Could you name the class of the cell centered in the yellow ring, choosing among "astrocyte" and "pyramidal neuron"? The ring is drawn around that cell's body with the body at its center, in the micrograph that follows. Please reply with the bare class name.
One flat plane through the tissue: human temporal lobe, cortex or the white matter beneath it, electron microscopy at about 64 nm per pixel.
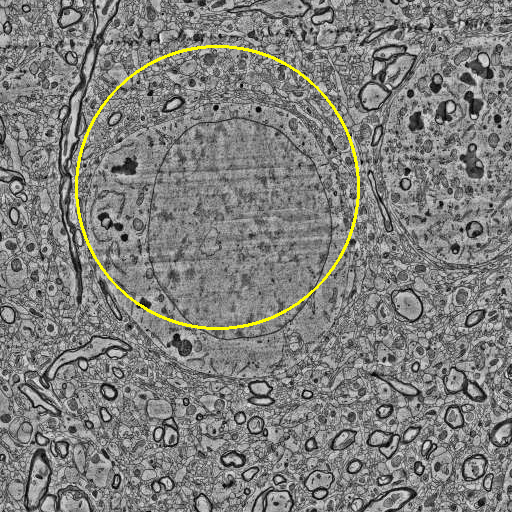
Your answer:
pyramidal neuron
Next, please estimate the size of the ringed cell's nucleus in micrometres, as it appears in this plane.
The nucleus of the ringed cell is approximately 14 by 12 micrometres in this plane.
